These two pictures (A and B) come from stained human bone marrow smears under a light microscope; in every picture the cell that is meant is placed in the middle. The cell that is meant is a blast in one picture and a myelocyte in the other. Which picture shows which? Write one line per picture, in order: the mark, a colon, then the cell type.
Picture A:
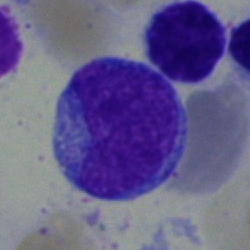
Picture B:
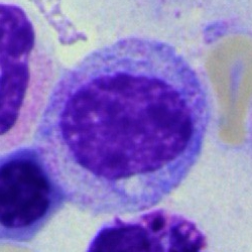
A: blast
B: myelocyte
